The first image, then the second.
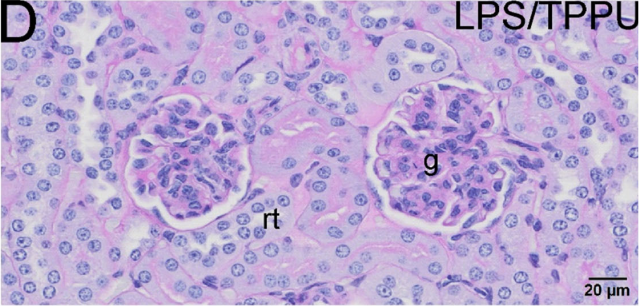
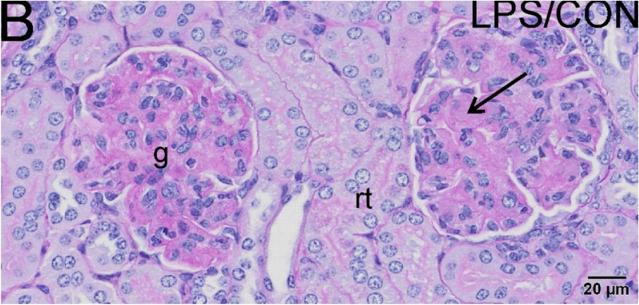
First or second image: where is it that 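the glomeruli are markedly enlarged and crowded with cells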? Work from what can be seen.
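The second image. First image: glomeruli are compact and round with a clear space around each tuft. Second image: glomeruli are much larger, packed with nuclei and magenta material, filling the capsule.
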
